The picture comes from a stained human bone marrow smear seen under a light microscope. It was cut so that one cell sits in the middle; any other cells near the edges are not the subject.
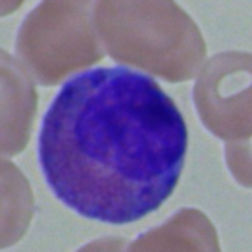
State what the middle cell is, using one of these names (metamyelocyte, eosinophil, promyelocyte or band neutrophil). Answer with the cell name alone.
eosinophil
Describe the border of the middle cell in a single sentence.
Around its whole circumference the outline stays smooth, free of projections.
